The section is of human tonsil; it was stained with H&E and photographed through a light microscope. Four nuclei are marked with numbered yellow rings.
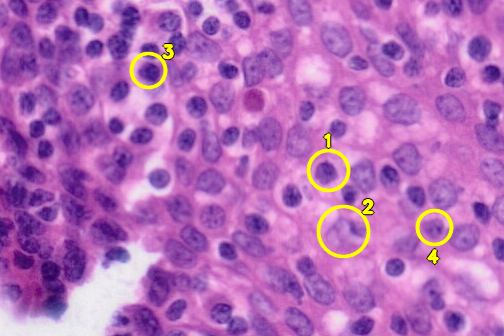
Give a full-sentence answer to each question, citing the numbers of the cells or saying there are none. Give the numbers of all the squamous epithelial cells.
Cells 1, 2 and 4 are recognised here as squamous epithelial cells.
